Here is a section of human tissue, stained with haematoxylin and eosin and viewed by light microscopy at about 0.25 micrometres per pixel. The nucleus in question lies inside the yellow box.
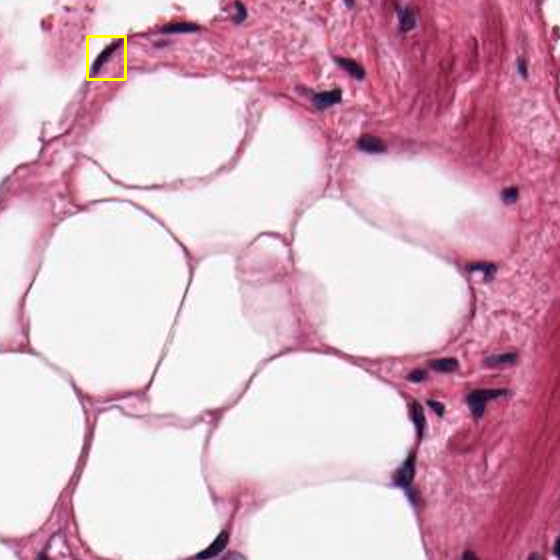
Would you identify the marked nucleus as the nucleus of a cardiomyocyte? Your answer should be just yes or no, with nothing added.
no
